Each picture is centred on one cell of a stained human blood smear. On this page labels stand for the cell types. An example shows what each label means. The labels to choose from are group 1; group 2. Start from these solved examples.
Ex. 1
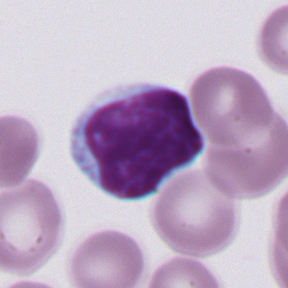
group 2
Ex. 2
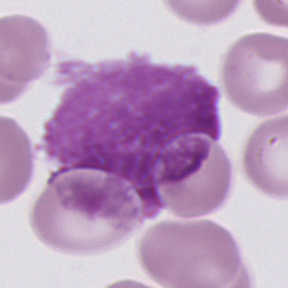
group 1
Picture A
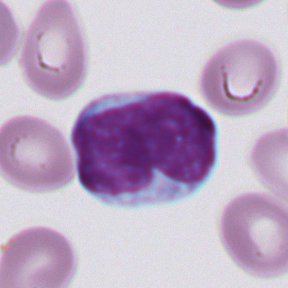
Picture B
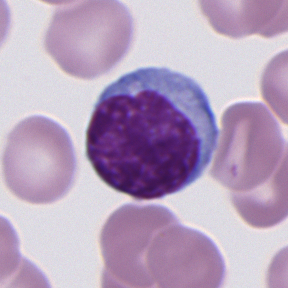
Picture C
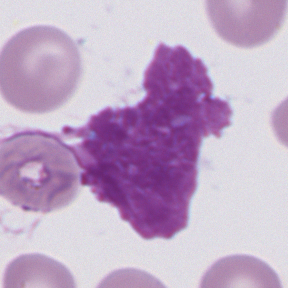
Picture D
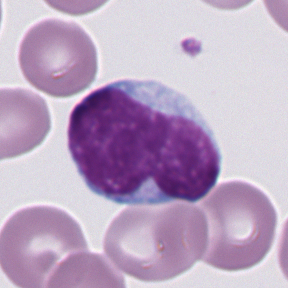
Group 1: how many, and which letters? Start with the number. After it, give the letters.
1, namely C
